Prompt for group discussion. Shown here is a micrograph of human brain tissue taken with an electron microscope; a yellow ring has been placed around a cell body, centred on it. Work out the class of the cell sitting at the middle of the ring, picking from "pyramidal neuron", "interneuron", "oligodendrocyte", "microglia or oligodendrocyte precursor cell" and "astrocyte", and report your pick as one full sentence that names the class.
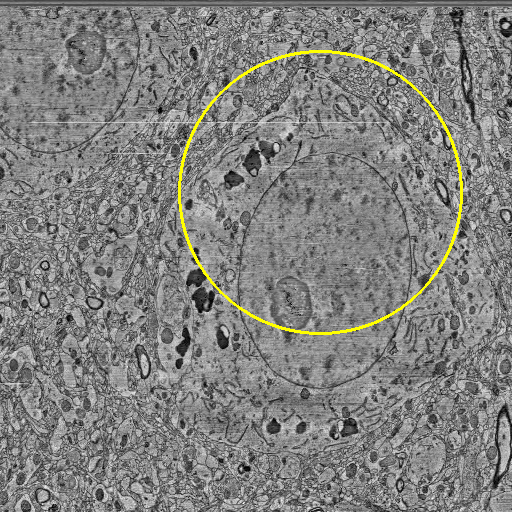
The cell sitting at the middle of the yellow ring is a pyramidal neuron.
